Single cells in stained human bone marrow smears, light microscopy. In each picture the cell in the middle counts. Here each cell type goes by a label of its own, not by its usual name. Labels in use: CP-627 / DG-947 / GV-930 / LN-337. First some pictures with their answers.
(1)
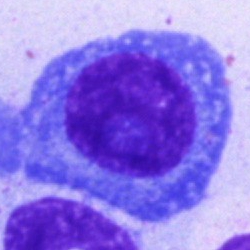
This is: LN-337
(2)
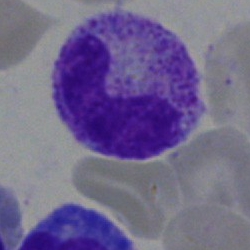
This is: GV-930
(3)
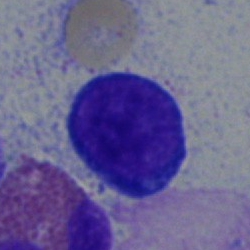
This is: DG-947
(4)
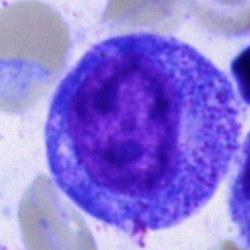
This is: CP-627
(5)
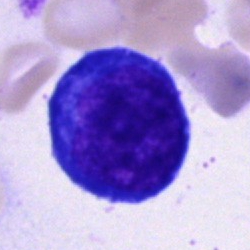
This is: DG-947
